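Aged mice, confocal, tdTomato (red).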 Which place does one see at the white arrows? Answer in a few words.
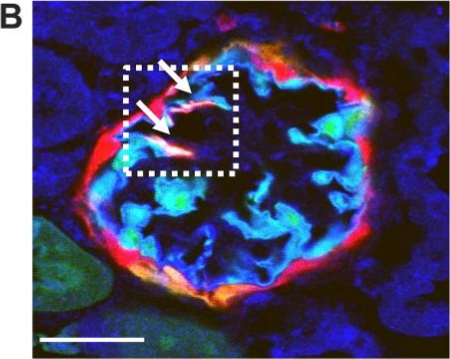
Glomerular tuft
